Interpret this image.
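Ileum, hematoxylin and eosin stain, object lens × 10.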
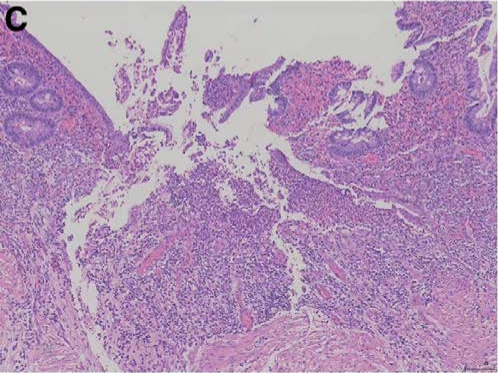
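This is a section of intestinal wall whose surface is broken by an ulcer with fissure-like clefts. Intact glandular mucosa is present at the left and right edges, with round and tubular crypts lined by columnar epithelium. In the centre the lining is lost. Loose, fragmented pink debris and torn strands lie at the surface, and narrow clefts extend downward into the tissue. The tissue beneath and around the defect is densely packed with small dark-nucleated inflammatory cells. Scattered red blood cells are present. Pink bundles of smooth muscle appear near the bottom of the field.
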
